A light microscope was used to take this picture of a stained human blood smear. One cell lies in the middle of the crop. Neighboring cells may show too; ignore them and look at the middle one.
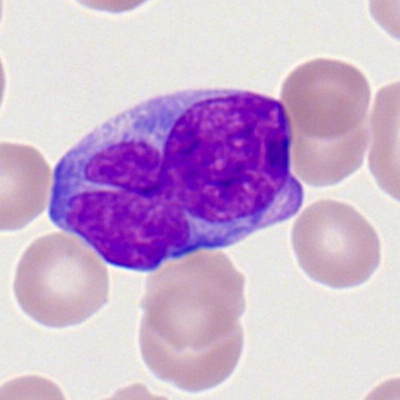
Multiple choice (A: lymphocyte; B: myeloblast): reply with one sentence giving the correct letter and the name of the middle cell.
The central cell in this crop is a myeloblast, so the correct choice is option B.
